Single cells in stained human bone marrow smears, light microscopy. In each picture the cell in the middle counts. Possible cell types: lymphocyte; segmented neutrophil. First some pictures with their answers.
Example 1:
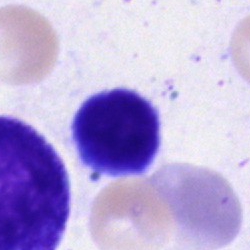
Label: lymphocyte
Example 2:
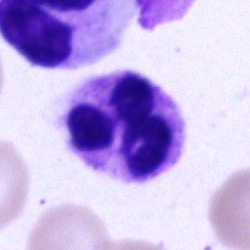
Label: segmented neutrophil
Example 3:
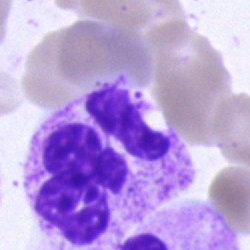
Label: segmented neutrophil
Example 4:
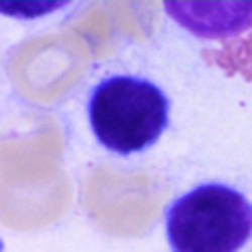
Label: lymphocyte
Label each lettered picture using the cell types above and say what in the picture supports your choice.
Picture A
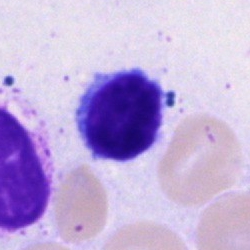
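lymphocyte: The nucleus fills almost the whole cell.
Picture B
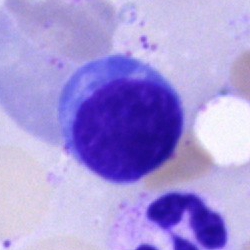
lymphocyte: The cytoplasm forms a narrow rim that is widest at the upper left.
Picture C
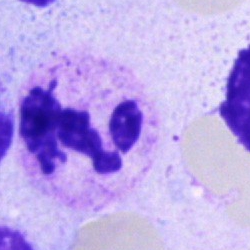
segmented neutrophil: The cytoplasm is plentiful and pale pinkish-lilac.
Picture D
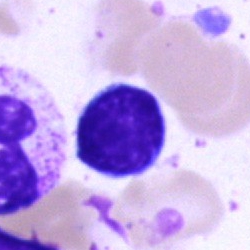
lymphocyte: Cytoplasm is at most a very thin rim around the nucleus.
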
